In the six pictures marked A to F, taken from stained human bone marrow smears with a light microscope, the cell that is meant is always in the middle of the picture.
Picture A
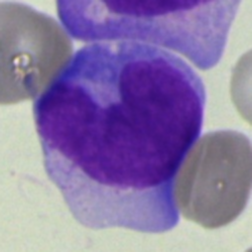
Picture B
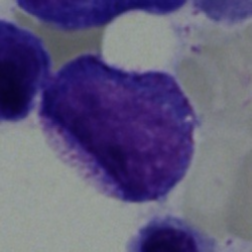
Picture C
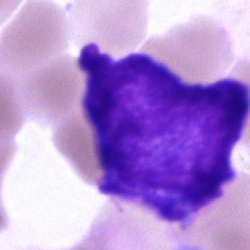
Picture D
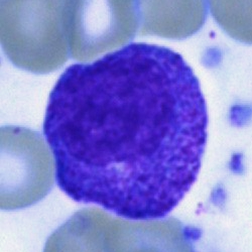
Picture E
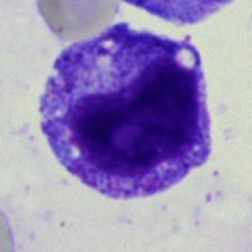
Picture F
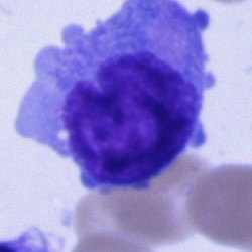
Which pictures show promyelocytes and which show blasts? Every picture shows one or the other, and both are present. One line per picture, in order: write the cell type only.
blast
promyelocyte
blast
promyelocyte
promyelocyte
blast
